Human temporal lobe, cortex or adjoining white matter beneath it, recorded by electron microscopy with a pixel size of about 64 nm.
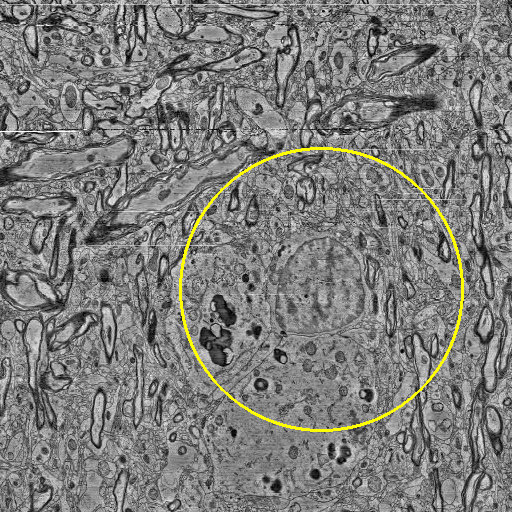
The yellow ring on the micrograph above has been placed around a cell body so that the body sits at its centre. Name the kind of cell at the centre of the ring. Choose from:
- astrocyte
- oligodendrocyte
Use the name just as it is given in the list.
oligodendrocyte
